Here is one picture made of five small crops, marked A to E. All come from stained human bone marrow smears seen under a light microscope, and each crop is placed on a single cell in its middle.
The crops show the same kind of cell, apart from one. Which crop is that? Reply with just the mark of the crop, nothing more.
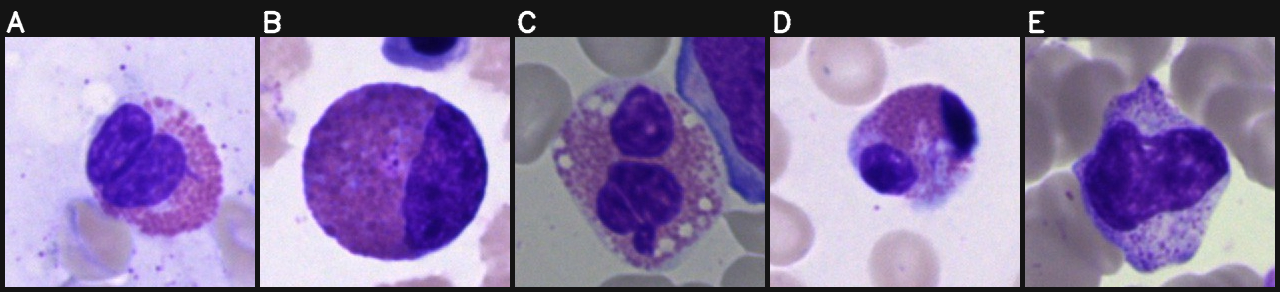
E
